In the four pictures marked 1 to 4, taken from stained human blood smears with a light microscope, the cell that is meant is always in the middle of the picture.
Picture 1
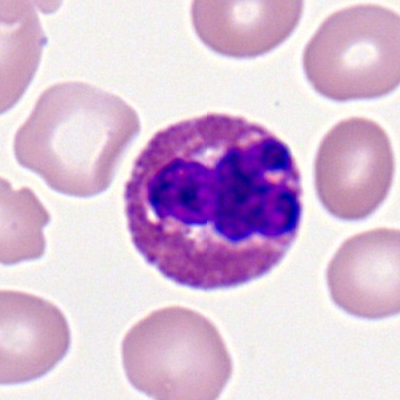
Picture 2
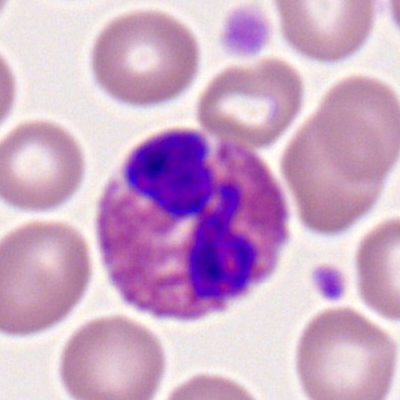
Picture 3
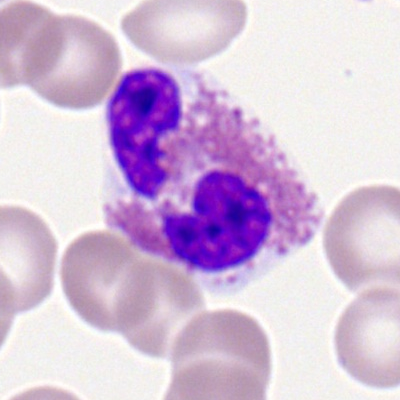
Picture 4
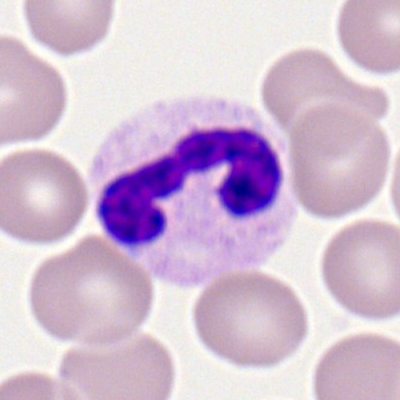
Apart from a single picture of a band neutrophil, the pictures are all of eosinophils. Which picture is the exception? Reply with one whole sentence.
Picture 4 shows the band neutrophil.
